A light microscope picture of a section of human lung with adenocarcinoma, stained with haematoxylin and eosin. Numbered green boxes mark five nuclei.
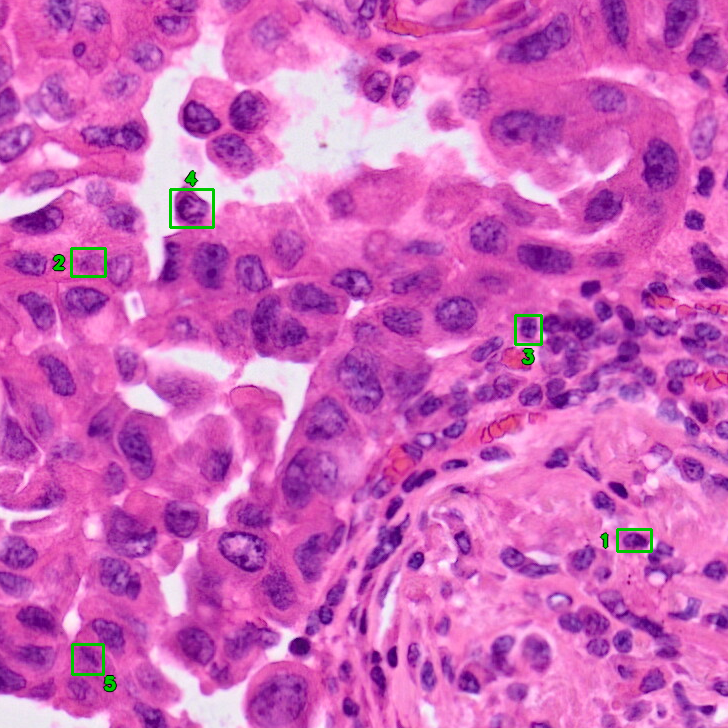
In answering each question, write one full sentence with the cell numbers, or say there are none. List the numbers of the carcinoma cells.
The cells numbered 2, 4 and 5 are of the kind known as carcinoma cells.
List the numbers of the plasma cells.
Cell 1 is a plasma cell; the remaining numbered cells are not.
